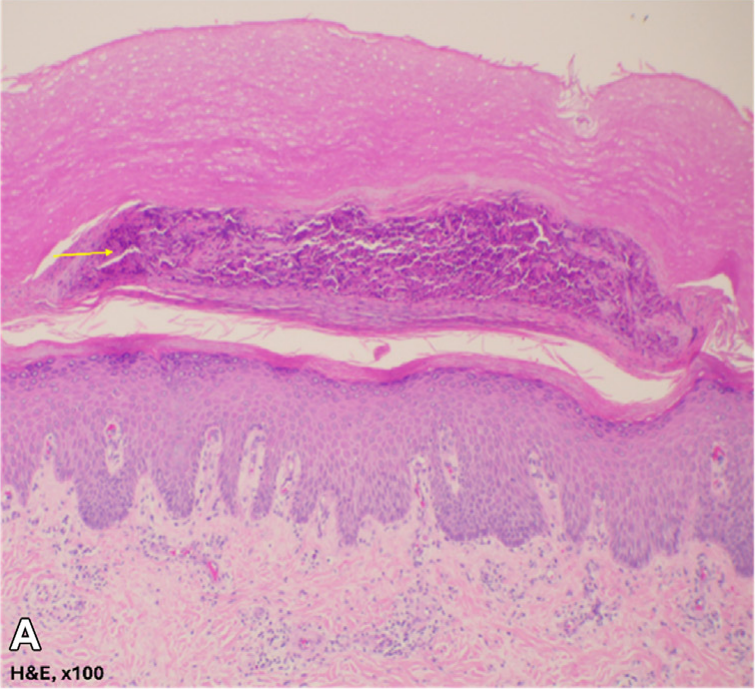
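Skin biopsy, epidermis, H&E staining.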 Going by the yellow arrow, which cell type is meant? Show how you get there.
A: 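The arrow points into a dense dark purple band lying within the pink cornified layer. The band is packed with small dark, fragmented nuclear material.
Hence: neutrophils.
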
